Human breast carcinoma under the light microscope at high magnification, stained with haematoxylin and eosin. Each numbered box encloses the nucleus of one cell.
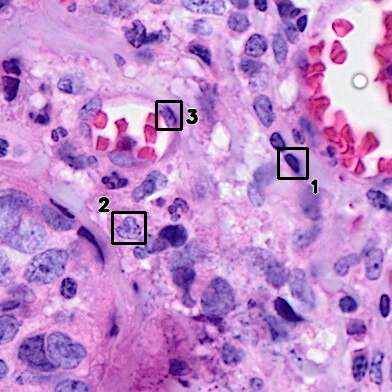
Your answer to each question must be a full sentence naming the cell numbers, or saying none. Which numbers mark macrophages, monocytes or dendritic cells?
The cell labelled 2 is a macrophage, monocyte or dendritic cell, while the remaining numbered cells are not.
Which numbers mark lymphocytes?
The cell bearing the number 1 is a lymphocyte, unlike the rest of the numbered cells.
